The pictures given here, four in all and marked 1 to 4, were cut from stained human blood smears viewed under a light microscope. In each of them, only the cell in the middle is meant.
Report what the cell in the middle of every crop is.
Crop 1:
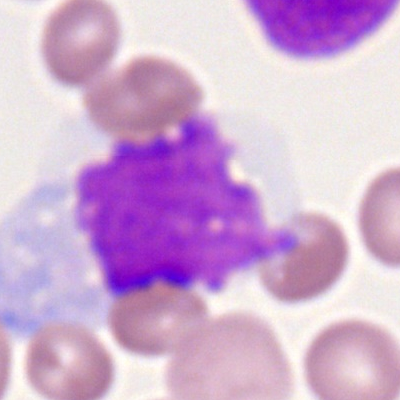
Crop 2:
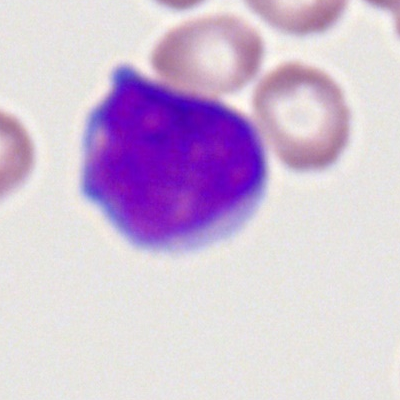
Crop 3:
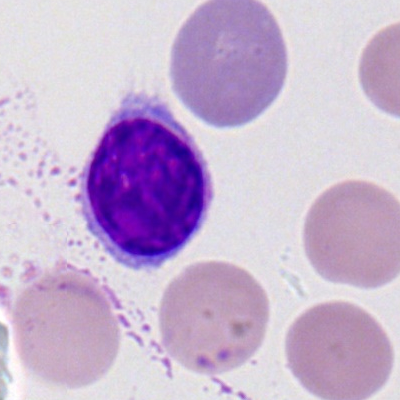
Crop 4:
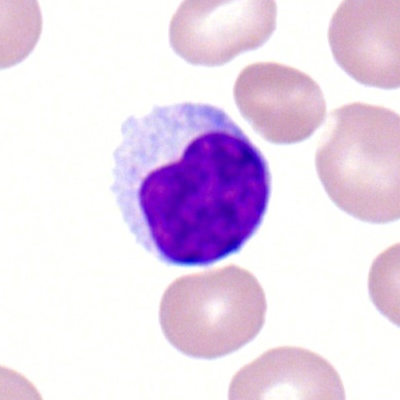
1: monocyte
2: myeloblast
3: lymphocyte
4: lymphocyte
